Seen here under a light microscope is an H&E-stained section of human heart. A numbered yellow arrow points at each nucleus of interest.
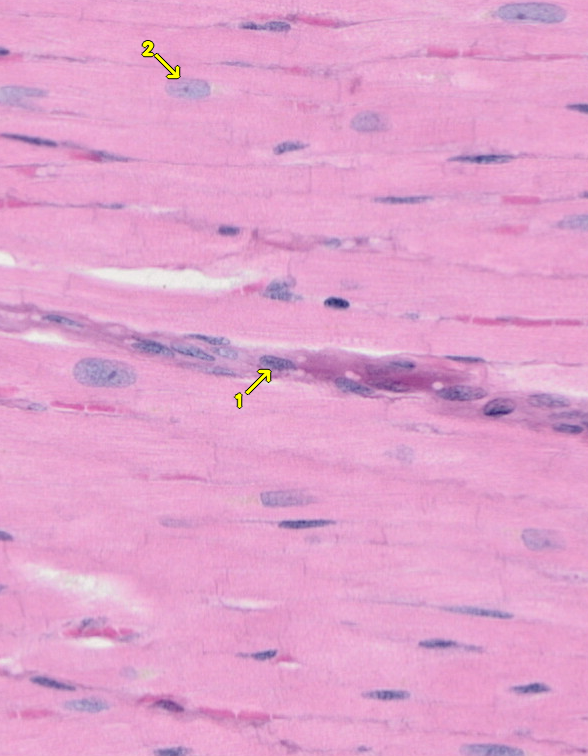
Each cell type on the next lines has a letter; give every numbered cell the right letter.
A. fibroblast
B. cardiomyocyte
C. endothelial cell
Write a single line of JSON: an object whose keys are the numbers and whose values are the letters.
{"1": "C", "2": "B"}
